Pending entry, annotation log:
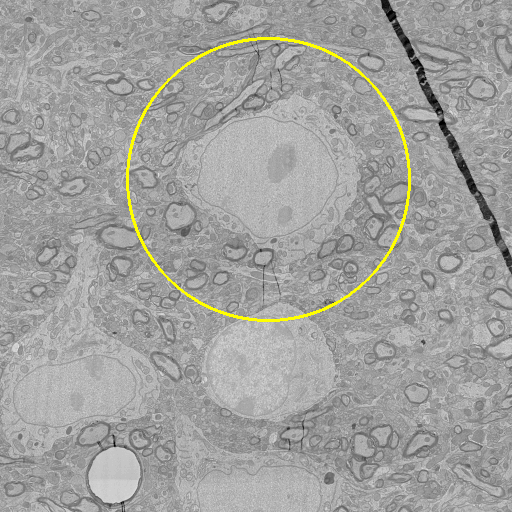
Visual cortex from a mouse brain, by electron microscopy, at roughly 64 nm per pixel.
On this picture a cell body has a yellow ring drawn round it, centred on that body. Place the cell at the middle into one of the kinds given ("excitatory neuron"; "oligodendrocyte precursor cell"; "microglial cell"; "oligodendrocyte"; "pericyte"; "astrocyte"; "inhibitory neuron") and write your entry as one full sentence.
The cell body at the middle of the yellow ring belongs to an excitatory neuron.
